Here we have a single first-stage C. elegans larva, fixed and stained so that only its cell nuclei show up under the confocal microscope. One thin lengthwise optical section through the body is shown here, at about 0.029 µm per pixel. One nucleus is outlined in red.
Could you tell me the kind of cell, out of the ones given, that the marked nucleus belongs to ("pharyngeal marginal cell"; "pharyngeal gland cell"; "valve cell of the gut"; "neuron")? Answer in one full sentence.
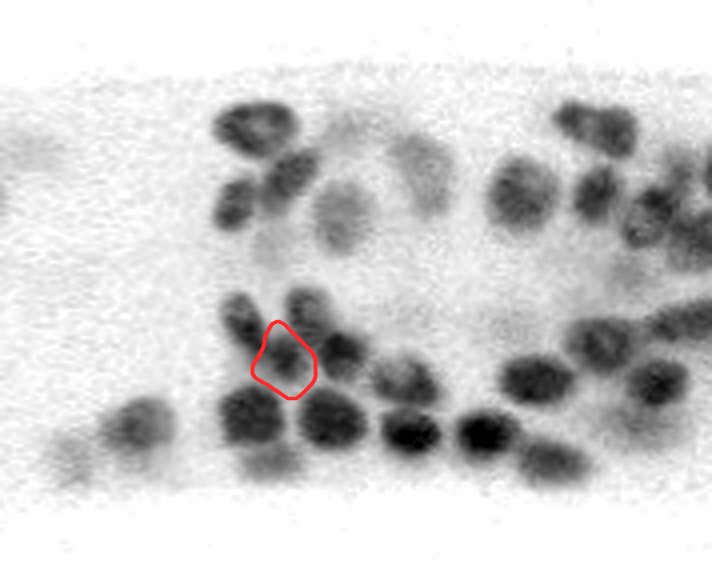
It is the nucleus of a valve cell of the gut.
